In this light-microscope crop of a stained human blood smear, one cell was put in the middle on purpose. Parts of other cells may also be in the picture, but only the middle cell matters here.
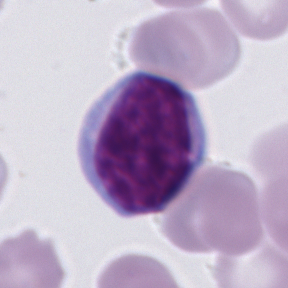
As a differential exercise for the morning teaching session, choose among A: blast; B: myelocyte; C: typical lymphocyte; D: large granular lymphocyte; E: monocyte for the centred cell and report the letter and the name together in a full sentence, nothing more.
The cell at the heart of the crop is a typical lymphocyte, so choose option C.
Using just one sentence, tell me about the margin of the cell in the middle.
The membrane contour is even and smooth, with nothing projecting from it.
